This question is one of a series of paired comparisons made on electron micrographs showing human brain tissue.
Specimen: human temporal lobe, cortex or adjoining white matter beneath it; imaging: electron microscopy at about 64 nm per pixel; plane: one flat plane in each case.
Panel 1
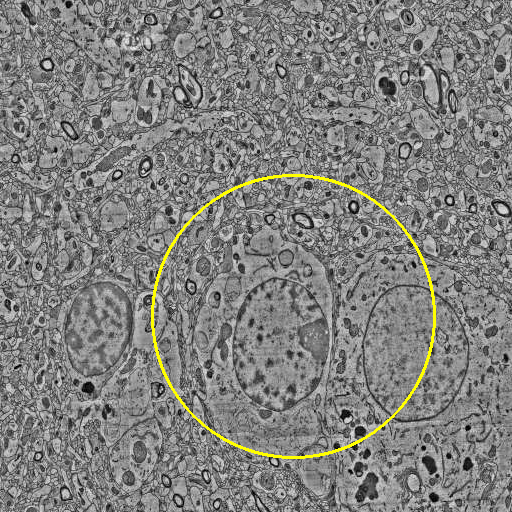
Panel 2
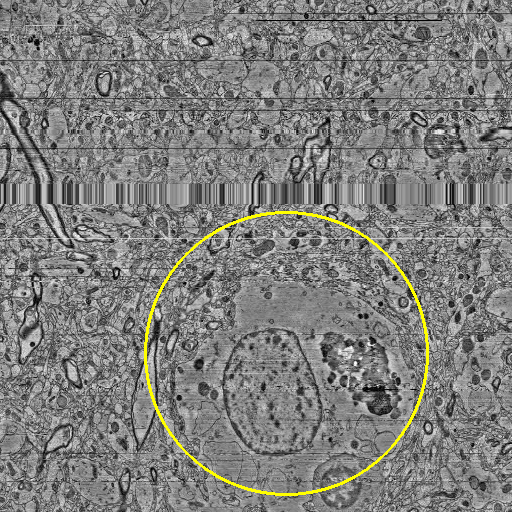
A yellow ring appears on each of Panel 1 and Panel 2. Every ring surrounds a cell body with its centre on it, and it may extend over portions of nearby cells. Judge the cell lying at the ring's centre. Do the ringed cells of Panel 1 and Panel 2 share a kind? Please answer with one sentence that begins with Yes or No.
Yes, the ring-centre cell in Panel 1 and the one in Panel 2 are of one kind.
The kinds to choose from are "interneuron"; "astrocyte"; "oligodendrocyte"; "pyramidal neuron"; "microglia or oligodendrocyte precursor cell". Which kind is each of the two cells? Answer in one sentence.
Both the first and the second picture show an astrocyte in the ring.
